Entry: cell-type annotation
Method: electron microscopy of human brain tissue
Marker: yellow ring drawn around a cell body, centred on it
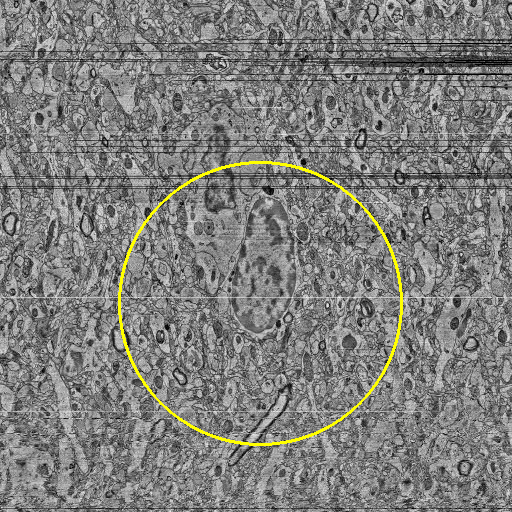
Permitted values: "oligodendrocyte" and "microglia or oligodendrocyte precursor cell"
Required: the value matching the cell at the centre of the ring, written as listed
microglia or oligodendrocyte precursor cell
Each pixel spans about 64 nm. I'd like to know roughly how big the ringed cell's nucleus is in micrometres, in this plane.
About 8 by 4 micrometers for the nucleus, in this plane.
